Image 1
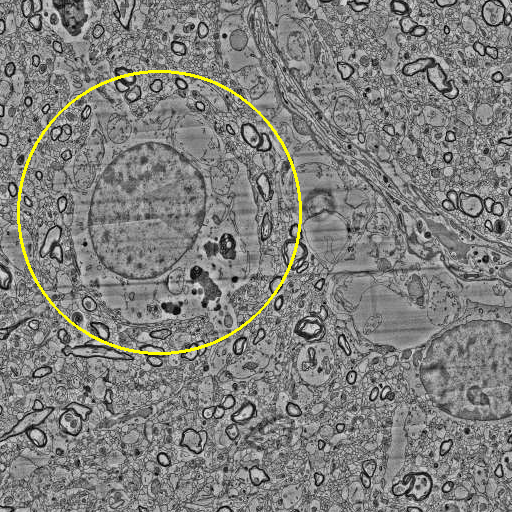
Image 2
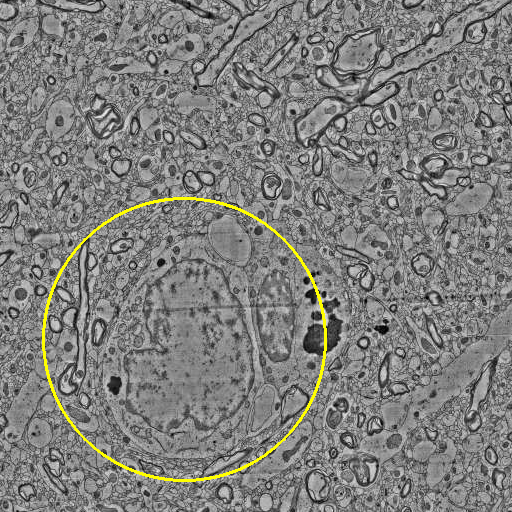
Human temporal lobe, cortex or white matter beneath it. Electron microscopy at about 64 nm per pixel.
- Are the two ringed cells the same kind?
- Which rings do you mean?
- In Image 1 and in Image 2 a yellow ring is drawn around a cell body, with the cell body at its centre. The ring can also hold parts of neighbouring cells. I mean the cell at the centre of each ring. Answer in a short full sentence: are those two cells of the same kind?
No, the cells are of two kinds.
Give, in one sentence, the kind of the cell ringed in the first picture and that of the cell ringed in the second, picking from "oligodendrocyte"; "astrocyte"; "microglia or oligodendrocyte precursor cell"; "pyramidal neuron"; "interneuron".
For the first picture it is an astrocyte; for the second, an interneuron.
